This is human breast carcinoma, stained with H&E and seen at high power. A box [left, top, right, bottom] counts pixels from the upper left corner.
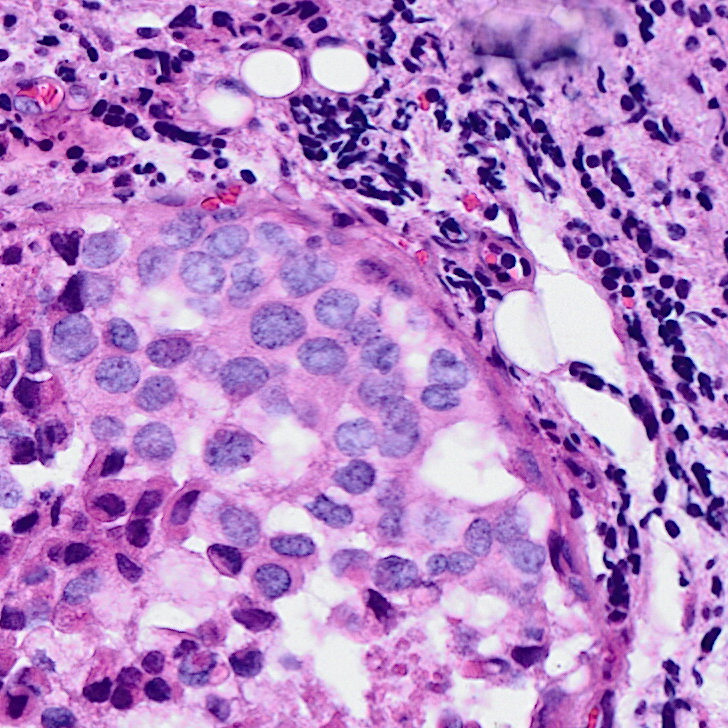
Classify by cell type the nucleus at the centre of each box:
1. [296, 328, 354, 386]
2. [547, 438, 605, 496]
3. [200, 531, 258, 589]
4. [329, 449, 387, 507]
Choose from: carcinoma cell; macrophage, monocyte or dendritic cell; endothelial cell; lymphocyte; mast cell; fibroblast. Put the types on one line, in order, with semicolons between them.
carcinoma cell; endothelial cell; carcinoma cell; carcinoma cell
